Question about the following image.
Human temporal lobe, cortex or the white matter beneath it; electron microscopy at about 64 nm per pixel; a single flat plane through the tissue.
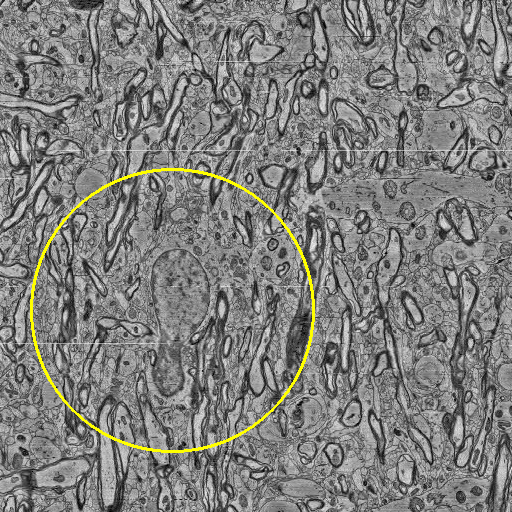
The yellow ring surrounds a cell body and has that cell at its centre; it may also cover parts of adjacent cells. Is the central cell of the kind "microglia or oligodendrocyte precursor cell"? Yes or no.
Yes, it is of that kind.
